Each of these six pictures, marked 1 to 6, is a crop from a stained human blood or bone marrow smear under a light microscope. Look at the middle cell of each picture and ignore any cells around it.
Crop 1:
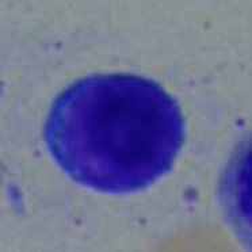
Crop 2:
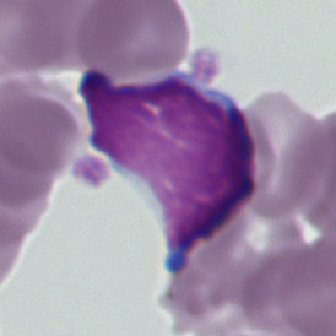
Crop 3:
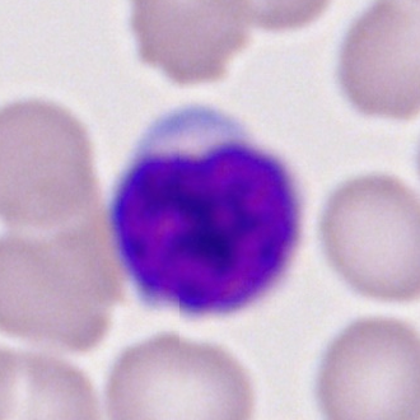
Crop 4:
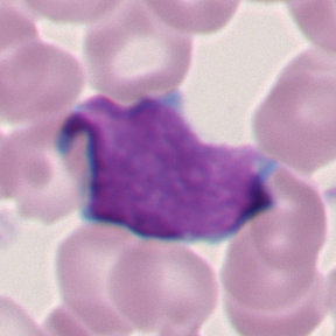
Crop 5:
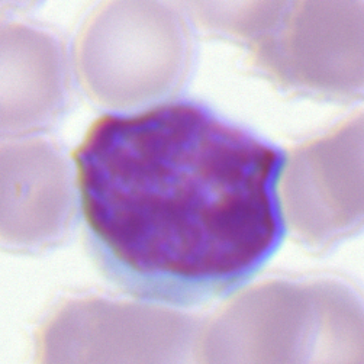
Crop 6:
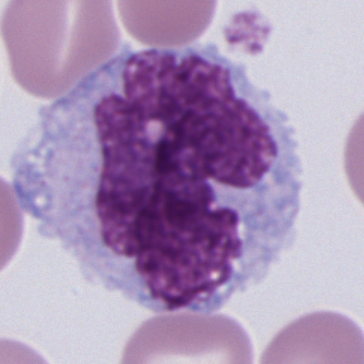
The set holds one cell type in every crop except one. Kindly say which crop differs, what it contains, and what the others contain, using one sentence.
Crop 6 does not fit, being a monocyte where all the others show lymphocytes.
